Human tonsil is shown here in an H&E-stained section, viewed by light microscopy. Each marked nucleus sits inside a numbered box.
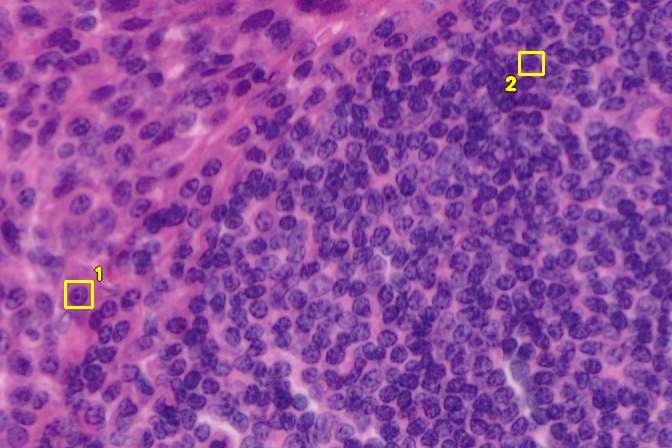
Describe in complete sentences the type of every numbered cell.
Cell 1 is a plasma cell. Cell 2 is a small lymphocyte.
